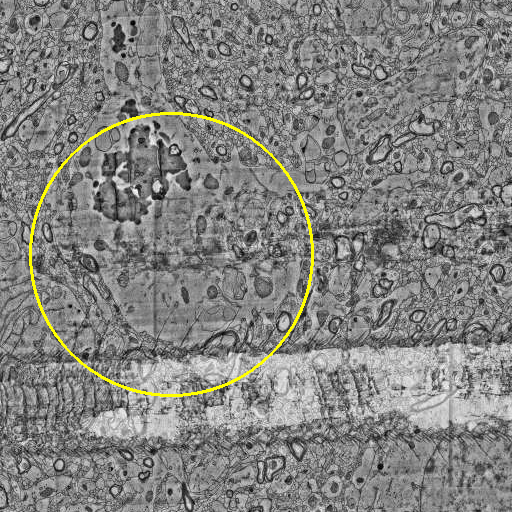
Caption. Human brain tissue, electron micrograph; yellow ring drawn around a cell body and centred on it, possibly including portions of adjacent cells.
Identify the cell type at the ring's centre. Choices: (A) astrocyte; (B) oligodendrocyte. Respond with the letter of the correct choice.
A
